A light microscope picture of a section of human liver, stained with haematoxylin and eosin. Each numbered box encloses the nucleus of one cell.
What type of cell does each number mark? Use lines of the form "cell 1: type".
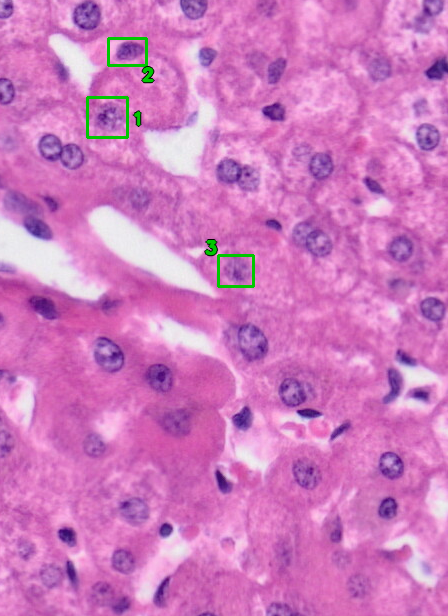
cell 1: hepatocyte
cell 2: endothelial cell
cell 3: hepatocyte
